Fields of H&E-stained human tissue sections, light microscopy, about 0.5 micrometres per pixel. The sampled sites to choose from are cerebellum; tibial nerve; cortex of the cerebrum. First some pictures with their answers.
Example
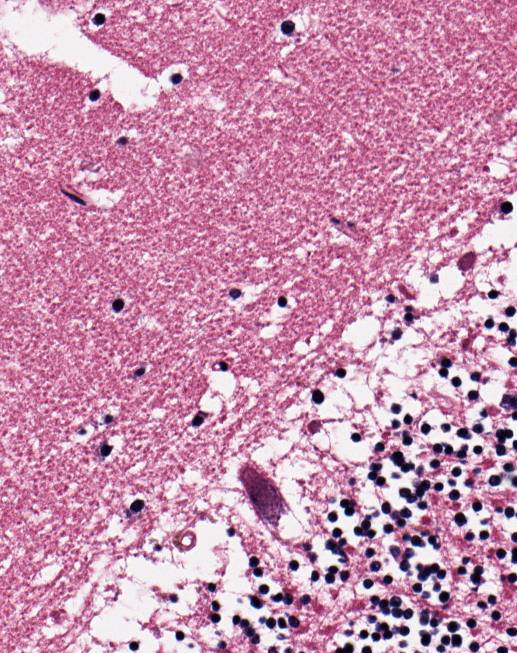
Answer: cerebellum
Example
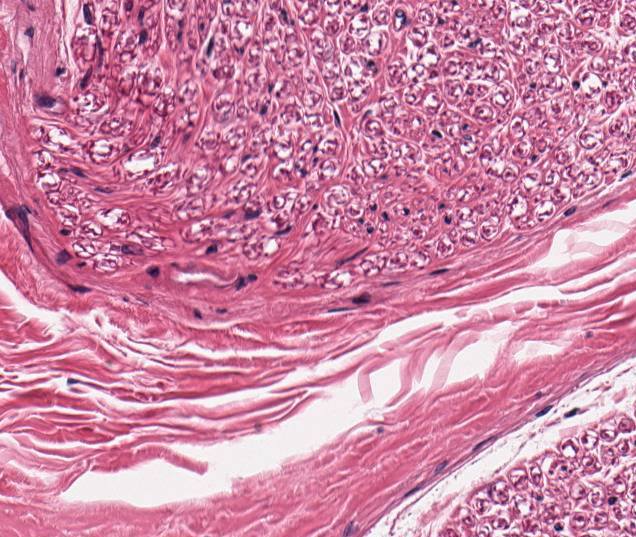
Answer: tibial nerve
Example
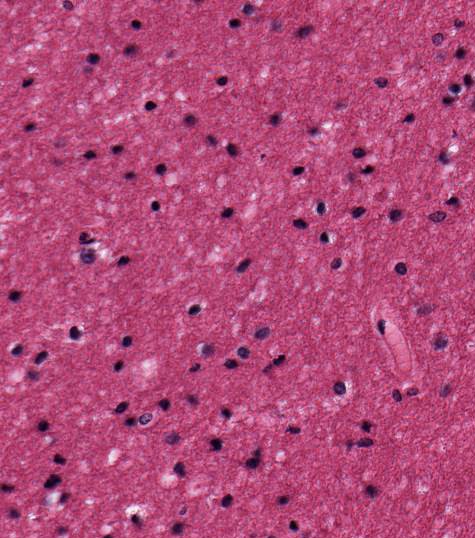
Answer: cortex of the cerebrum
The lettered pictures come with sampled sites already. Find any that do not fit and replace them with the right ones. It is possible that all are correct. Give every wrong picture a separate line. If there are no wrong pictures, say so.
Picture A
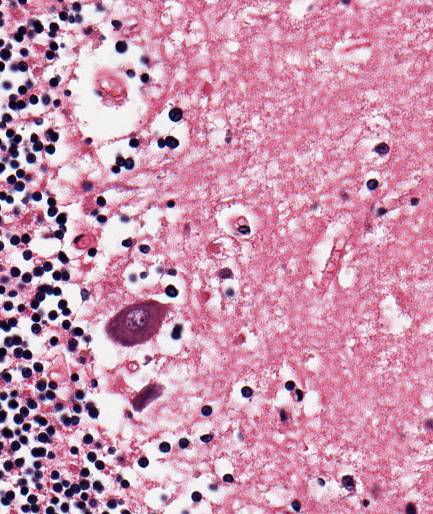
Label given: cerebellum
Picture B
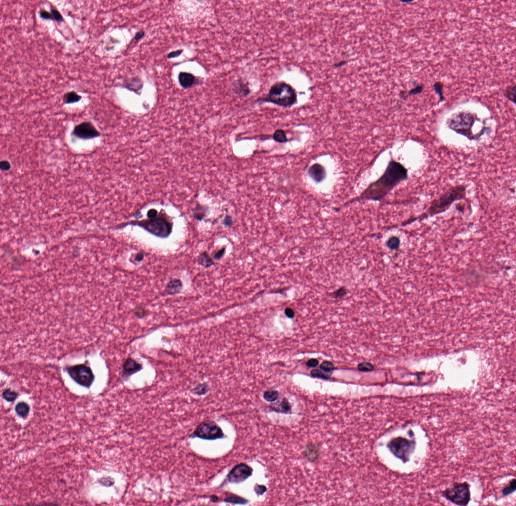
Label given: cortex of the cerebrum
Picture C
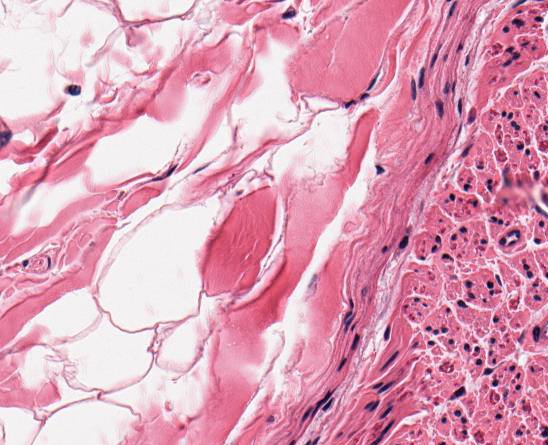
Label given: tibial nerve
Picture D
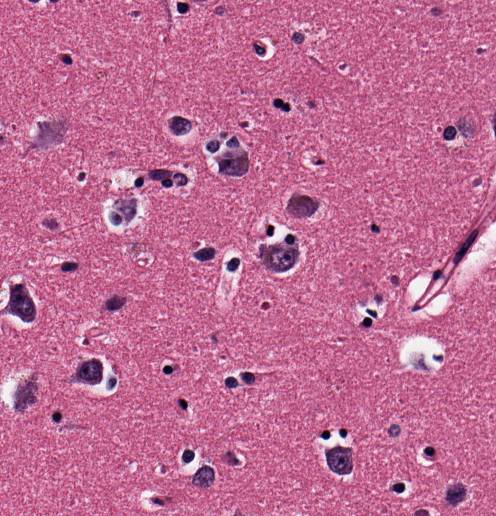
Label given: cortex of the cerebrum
None of the labels needs changing.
